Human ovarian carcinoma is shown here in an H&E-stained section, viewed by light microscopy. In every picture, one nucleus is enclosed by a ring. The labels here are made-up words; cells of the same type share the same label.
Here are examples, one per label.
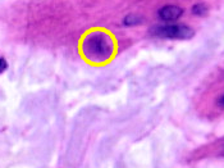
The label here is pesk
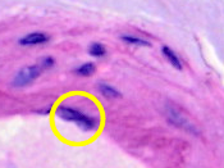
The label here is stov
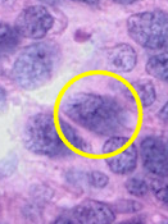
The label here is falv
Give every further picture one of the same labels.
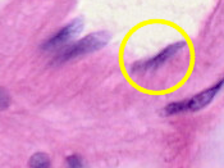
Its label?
stov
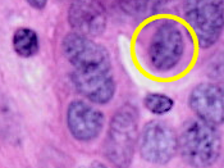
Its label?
falv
